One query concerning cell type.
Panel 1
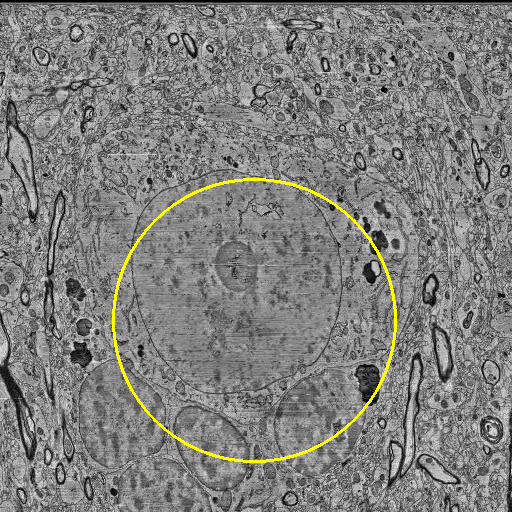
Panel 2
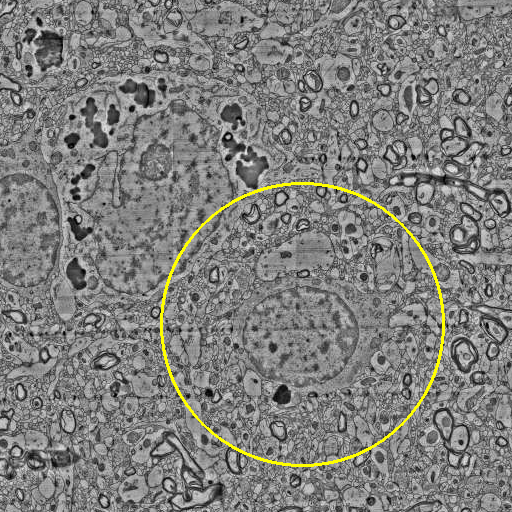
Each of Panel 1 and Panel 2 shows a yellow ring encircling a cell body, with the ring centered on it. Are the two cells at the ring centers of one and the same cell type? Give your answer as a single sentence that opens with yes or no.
No, the cell centered in Panel 1 and the one in Panel 2 are of two types.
